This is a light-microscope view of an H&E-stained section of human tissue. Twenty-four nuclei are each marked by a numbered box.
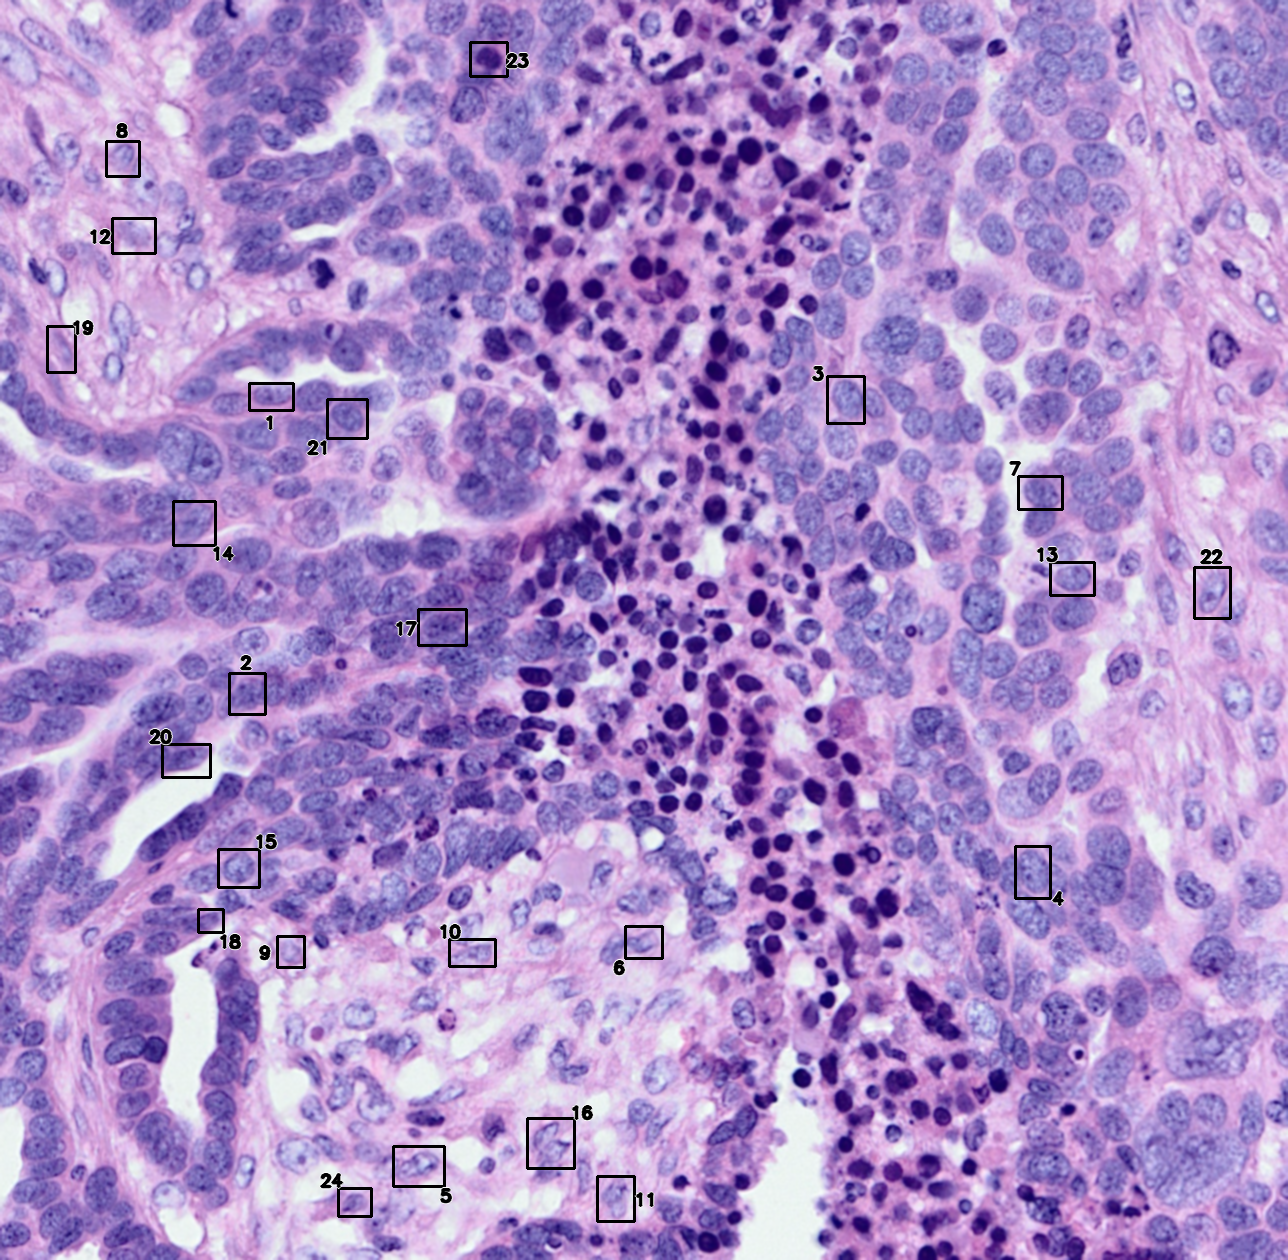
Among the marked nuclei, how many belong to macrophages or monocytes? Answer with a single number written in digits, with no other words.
1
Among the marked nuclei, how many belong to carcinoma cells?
13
